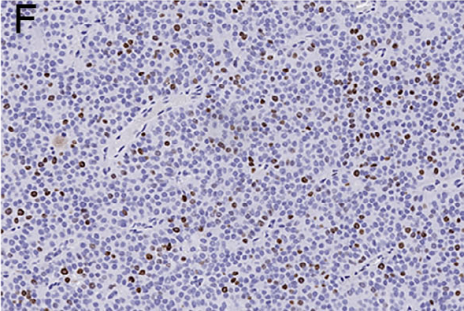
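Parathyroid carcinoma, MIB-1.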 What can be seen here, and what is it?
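Scattered among them are nuclei stained dark brown, distributed singly rather than in clusters. Most tumor nuclei remain blue and unstained. Thin vascular channels with elongated cells run between the tumor cells.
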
